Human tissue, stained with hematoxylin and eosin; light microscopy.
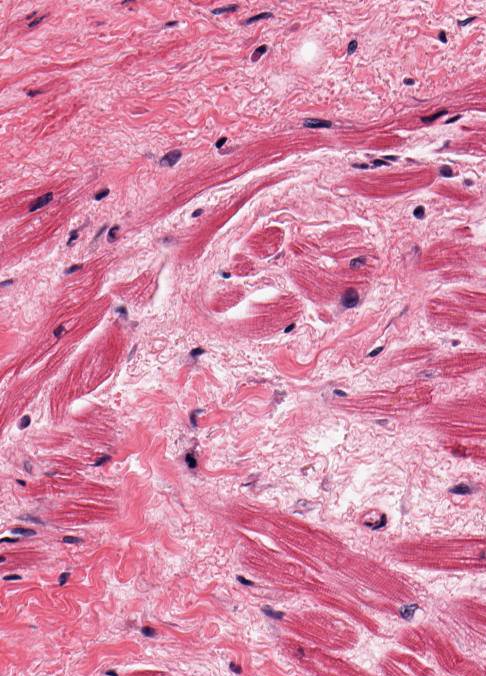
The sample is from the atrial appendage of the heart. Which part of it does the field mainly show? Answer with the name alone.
myocardium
